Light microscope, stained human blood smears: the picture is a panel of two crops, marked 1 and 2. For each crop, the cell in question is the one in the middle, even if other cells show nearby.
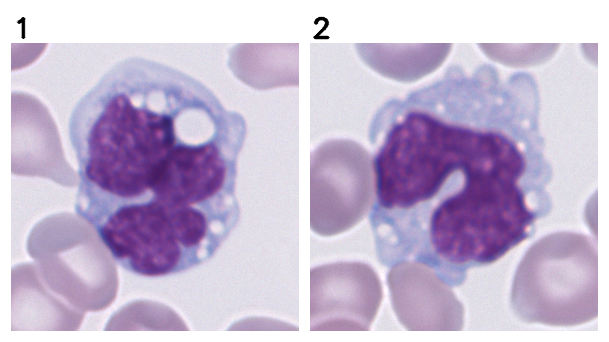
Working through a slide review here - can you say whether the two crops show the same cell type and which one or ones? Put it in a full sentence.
Yes, monocytes occupy the centre of both crops.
